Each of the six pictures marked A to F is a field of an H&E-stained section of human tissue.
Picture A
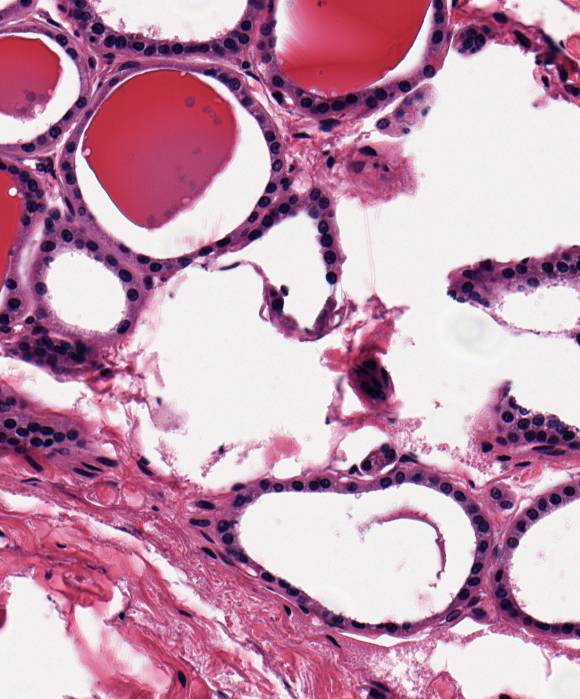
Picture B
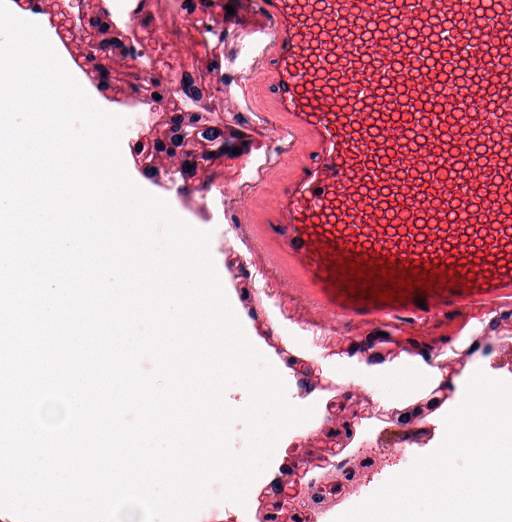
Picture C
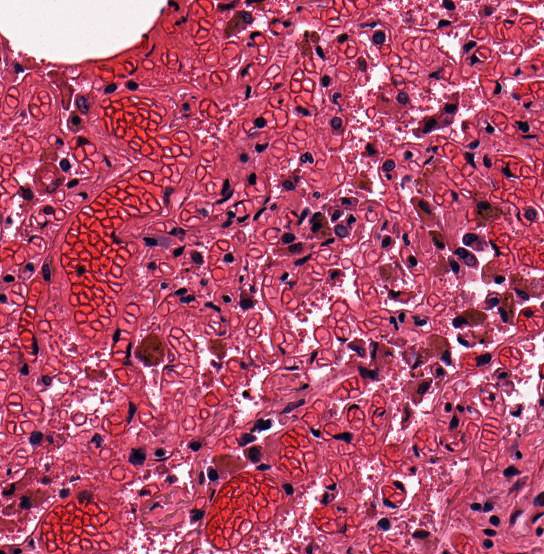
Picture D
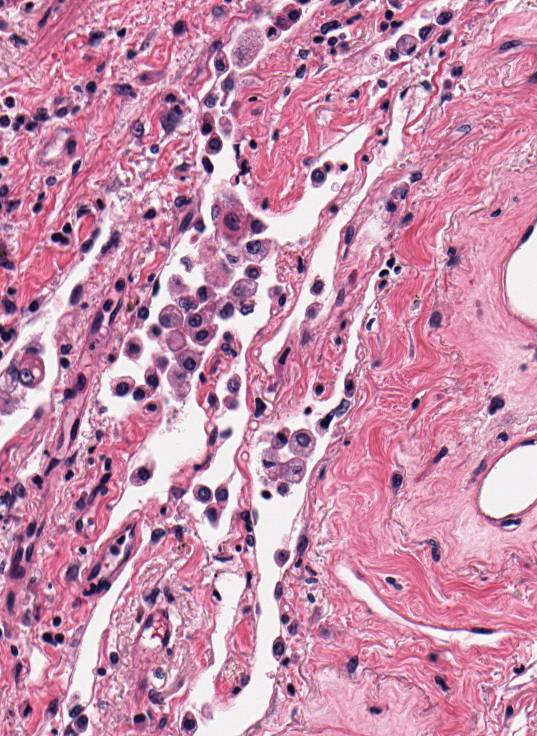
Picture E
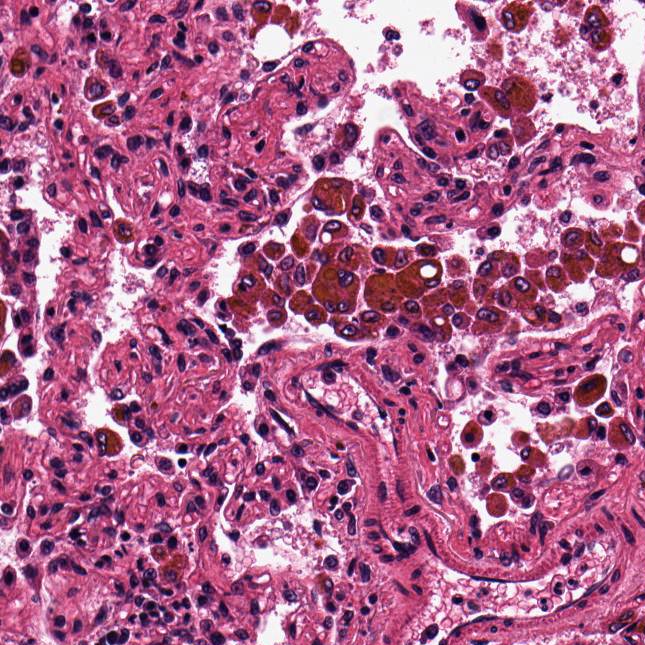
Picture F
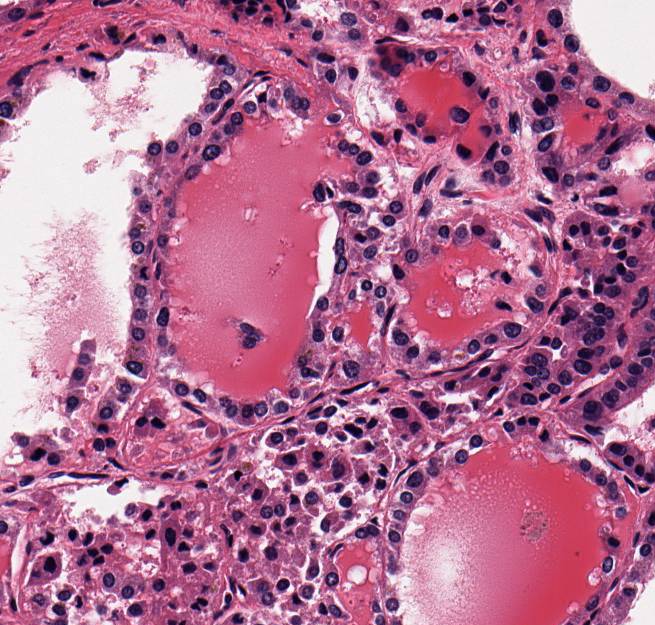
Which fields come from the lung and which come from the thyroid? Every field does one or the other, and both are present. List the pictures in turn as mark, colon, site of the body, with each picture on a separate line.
A: thyroid
B: lung
C: lung
D: lung
E: lung
F: thyroid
